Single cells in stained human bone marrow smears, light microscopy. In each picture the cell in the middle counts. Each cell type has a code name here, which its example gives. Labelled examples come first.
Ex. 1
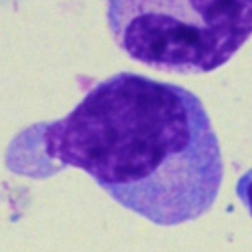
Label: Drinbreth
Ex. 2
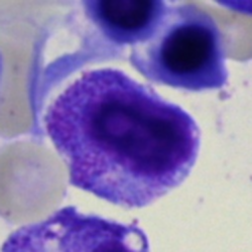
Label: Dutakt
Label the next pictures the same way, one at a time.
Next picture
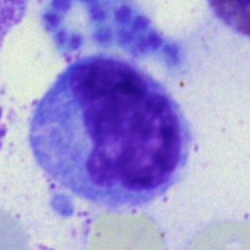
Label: Drinbreth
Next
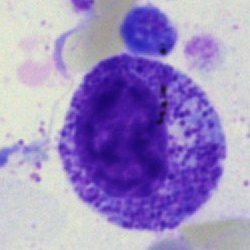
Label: Dutakt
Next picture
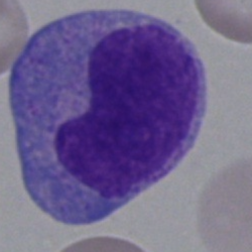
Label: Drinbreth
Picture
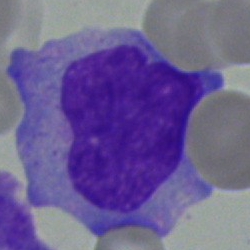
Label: Drinbreth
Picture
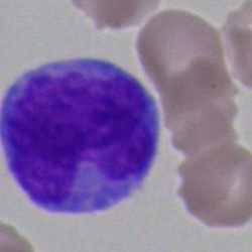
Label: Drinbreth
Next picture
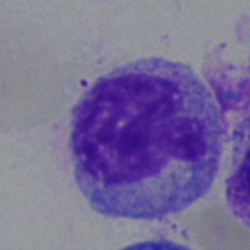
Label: Drinbreth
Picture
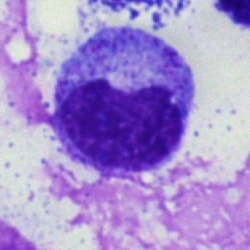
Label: Dutakt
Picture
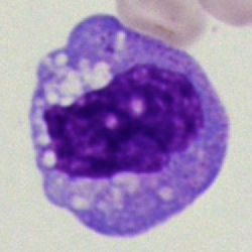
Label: Drinbreth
